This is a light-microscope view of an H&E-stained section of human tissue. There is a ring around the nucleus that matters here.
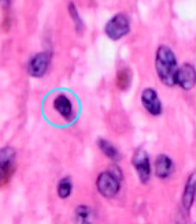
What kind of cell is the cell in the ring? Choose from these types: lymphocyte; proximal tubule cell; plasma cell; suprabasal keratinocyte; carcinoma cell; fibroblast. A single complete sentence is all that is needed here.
By cell type, the cell in the ring is a lymphocyte.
